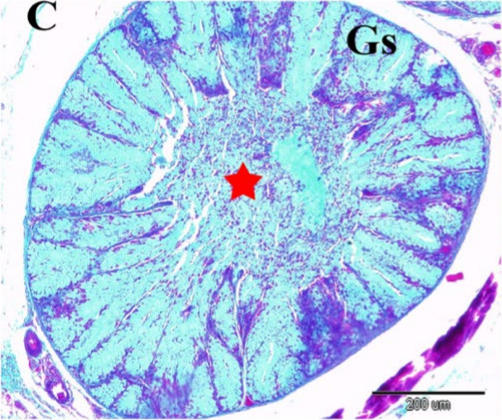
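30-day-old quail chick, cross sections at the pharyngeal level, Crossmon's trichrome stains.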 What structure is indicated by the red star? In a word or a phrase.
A: Wide central lumen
